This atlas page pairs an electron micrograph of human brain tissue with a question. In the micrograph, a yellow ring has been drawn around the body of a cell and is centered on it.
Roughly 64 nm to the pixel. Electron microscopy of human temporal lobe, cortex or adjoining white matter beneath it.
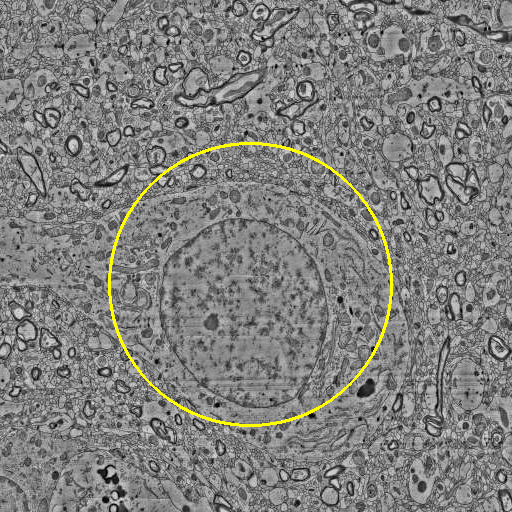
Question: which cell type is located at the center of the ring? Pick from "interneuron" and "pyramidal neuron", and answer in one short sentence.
Located at the center of the ring is an interneuron.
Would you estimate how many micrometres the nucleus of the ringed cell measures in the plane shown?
The ringed cell's nucleus is about 12 micrometres long and 11 micrometres wide in this plane.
